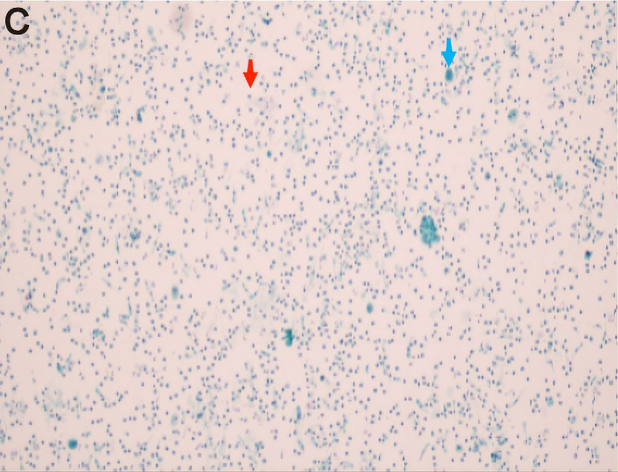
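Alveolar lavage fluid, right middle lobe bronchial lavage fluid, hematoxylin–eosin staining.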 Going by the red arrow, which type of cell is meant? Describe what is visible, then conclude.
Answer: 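Numerous small cells with dark dot-like nuclei fill the field evenly. So: inflammatory cells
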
